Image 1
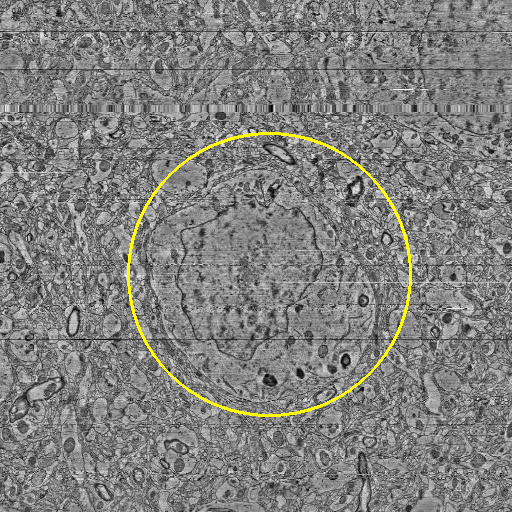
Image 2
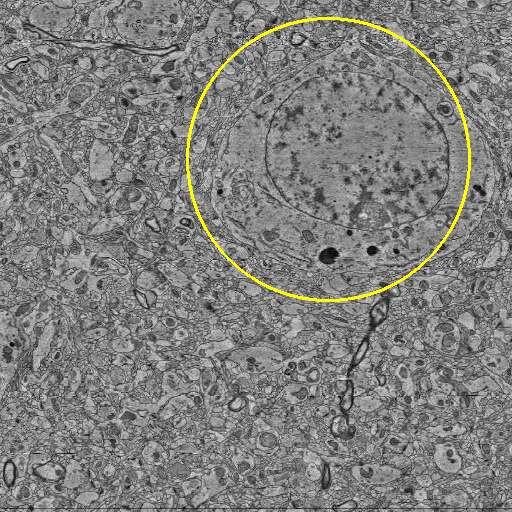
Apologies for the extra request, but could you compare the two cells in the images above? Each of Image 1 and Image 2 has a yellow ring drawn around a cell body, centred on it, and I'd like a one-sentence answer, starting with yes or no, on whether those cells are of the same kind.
Yes, both cells are of the same kind.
